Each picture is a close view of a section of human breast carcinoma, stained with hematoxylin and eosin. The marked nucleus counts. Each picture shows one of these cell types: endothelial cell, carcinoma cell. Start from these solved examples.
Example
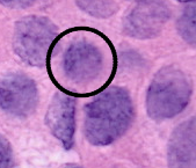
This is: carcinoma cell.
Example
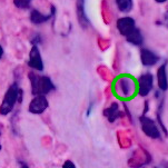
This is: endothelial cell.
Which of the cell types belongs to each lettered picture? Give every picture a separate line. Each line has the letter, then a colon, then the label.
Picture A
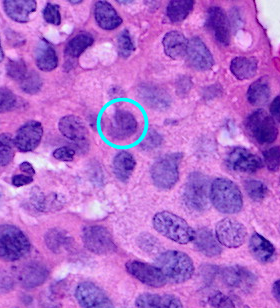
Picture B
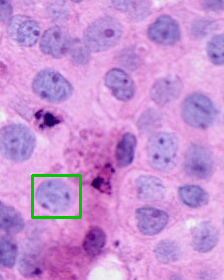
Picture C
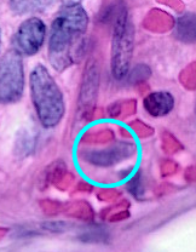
A: carcinoma cell.
B: carcinoma cell.
C: endothelial cell.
